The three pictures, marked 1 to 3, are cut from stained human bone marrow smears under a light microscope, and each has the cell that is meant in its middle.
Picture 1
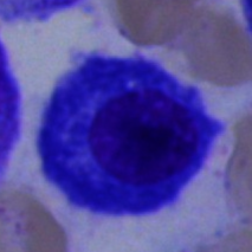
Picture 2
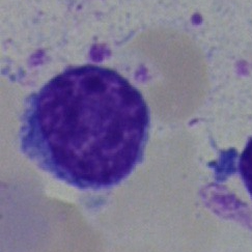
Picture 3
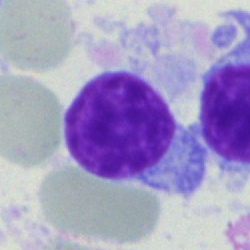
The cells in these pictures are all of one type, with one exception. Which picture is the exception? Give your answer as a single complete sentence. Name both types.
The others show lymphocytes, but picture 1 shows a plasma cell.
